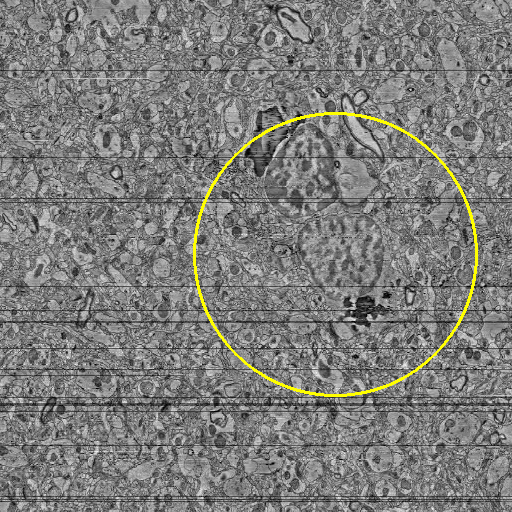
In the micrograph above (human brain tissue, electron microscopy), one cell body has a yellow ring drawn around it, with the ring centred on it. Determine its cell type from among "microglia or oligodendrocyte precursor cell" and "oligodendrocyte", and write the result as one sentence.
The cell whose body is ringed is an oligodendrocyte.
